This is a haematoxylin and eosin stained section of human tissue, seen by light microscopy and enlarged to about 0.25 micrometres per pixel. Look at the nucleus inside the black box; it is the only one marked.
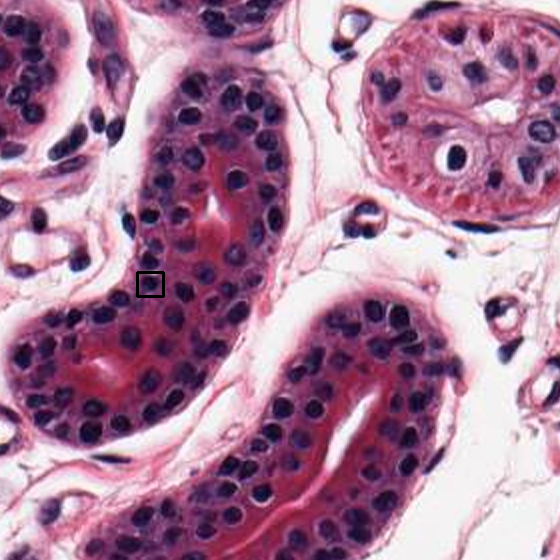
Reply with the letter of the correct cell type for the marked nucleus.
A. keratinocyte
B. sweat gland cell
B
